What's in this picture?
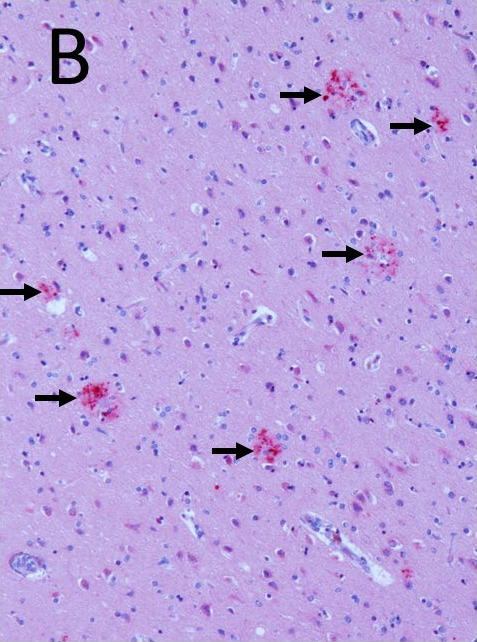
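Many small, dark blue nuclei of glial cells are spread evenly through the tissue, and several small blood vessels with clear lumens cross the field. The red deposits form irregular, patchy foci of beads and granules rather than continuous lines, and they are distributed widely across the field without a clear pattern.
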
